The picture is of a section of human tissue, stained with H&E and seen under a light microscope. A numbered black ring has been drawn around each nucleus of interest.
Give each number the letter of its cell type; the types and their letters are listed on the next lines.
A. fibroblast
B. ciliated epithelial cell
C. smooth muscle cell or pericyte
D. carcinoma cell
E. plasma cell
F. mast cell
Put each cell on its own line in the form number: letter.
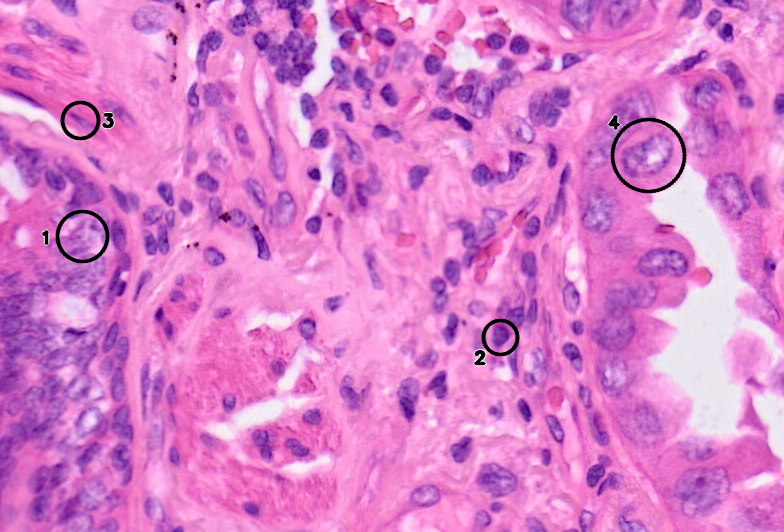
1: B
2: E
3: C
4: D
